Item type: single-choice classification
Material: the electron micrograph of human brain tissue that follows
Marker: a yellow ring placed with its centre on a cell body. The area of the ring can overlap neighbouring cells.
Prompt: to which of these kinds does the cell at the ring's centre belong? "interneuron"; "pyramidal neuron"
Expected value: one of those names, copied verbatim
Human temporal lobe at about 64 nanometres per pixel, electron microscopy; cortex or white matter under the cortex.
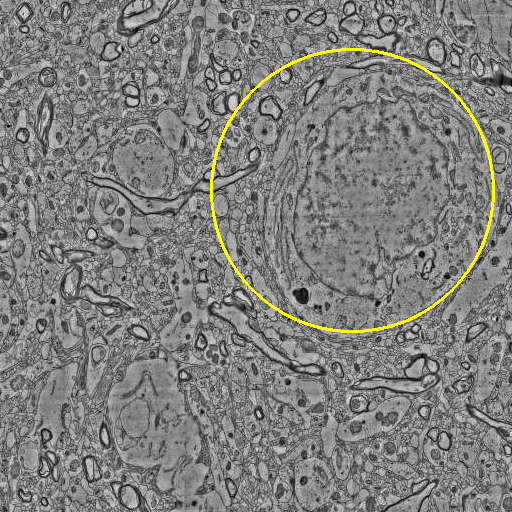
interneuron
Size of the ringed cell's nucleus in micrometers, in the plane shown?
Roughly 13 by 10 micrometres in this plane, for the nucleus of the ringed cell.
